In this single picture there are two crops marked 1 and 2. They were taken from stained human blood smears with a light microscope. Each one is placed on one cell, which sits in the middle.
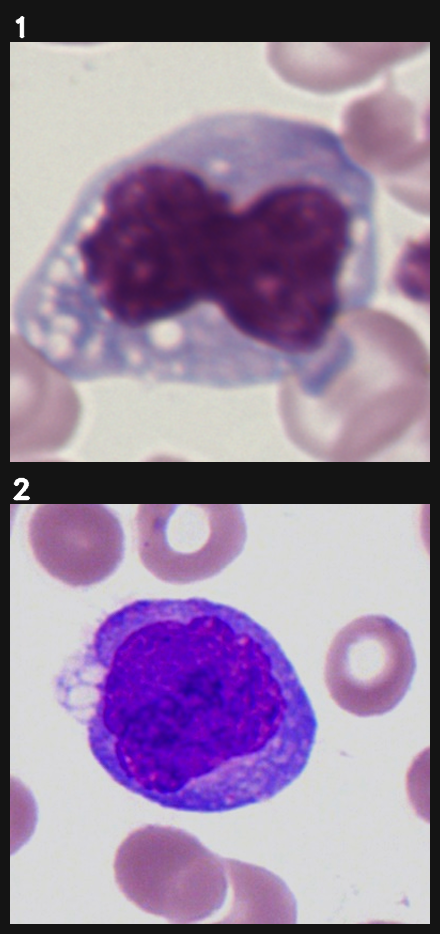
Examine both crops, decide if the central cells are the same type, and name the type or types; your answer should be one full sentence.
Yes, both crops do show monocytes in the middle.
